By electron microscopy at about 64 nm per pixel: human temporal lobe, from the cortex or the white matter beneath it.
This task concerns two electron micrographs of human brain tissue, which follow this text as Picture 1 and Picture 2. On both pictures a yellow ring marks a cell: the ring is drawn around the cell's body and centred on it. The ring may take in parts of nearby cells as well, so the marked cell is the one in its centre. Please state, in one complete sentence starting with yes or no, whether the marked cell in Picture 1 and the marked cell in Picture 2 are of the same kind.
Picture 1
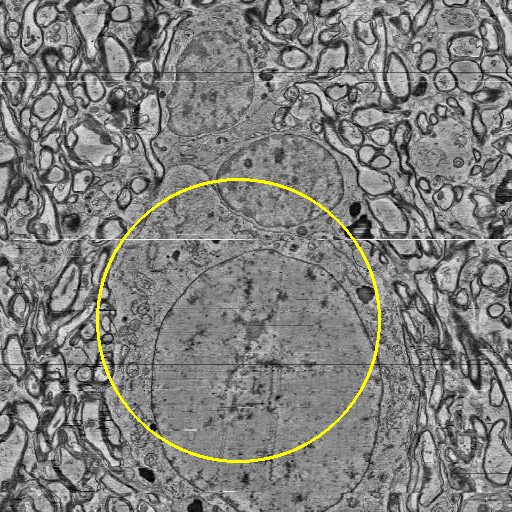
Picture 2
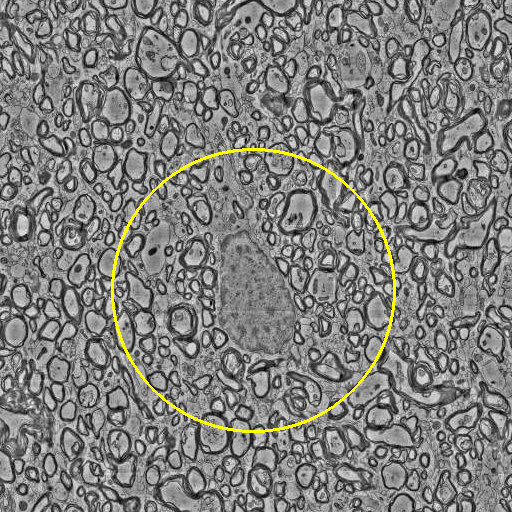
No, the marked cells in the two pictures are of two kinds.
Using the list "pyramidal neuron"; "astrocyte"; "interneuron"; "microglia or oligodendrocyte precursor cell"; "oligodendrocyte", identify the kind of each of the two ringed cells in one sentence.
The first is a pyramidal neuron and the second is an oligodendrocyte.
